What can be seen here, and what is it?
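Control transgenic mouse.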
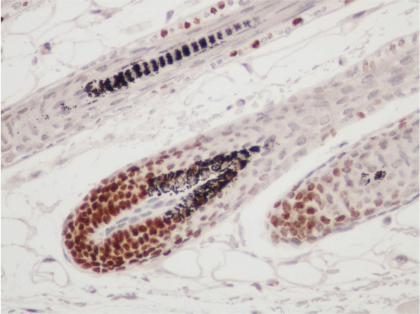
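A hair follicle cut lengthwise ends in a rounded bulb, whose lower epithelial cells carry strong brown nuclear staining while cells higher up the follicle stay mostly blue. Large empty fat cells lie around the follicle, and a second follicle with brown-stained nuclei sits at the right edge.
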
